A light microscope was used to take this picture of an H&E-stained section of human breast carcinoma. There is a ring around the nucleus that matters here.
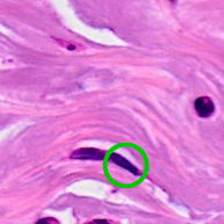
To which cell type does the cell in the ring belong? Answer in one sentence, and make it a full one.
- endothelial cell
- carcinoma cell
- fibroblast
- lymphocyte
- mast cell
For the purposes of cell typing, the cell in the ring is categorized as a fibroblast.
